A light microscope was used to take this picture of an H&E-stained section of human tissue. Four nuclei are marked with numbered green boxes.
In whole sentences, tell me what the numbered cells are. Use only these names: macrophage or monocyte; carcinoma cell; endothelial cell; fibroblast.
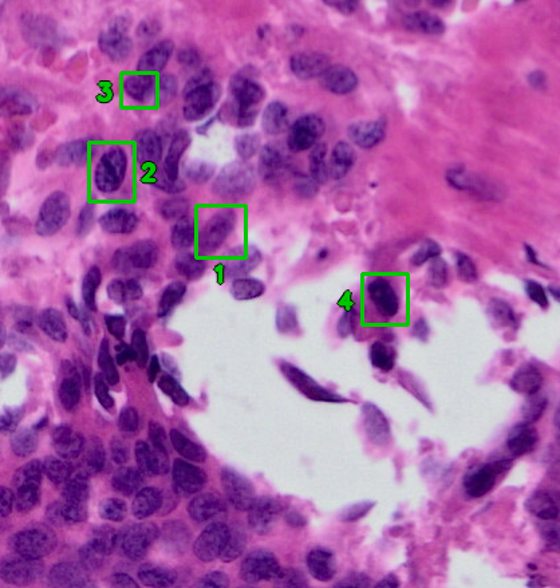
Cell 1 is a carcinoma cell, cell 2 is a macrophage or monocyte, cell 3 is a carcinoma cell and cell 4 is a carcinoma cell.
